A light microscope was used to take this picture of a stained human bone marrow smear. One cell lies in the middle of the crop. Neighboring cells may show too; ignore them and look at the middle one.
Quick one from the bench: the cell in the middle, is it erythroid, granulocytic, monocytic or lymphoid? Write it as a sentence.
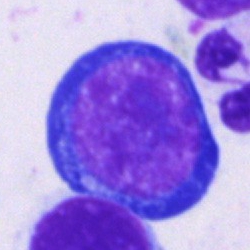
The cell in the middle of the crop is sorted into the erythroid lineage.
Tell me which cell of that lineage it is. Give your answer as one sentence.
This particular crop is centered on a proerythroblast.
